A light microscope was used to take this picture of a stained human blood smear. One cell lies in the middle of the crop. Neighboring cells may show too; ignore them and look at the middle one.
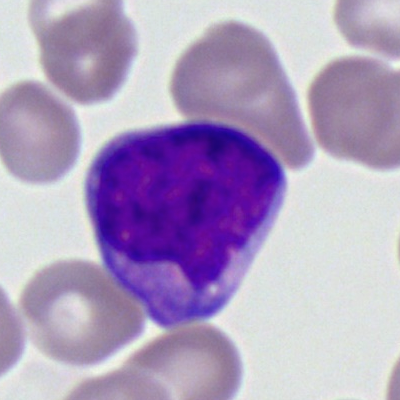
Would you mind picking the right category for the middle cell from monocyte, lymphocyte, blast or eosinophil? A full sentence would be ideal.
By type, the central cell of the crop is a blast.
